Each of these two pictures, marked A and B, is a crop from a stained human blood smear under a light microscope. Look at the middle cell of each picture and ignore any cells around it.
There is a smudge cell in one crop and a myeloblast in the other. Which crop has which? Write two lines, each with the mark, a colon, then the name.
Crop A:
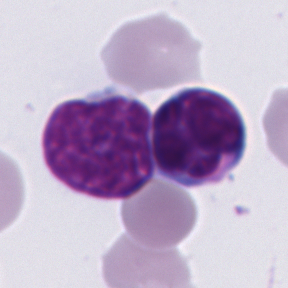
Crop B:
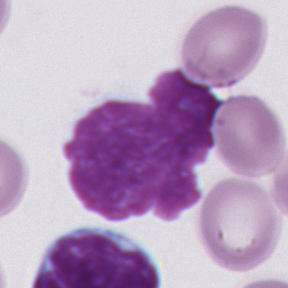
A: myeloblast
B: smudge cell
